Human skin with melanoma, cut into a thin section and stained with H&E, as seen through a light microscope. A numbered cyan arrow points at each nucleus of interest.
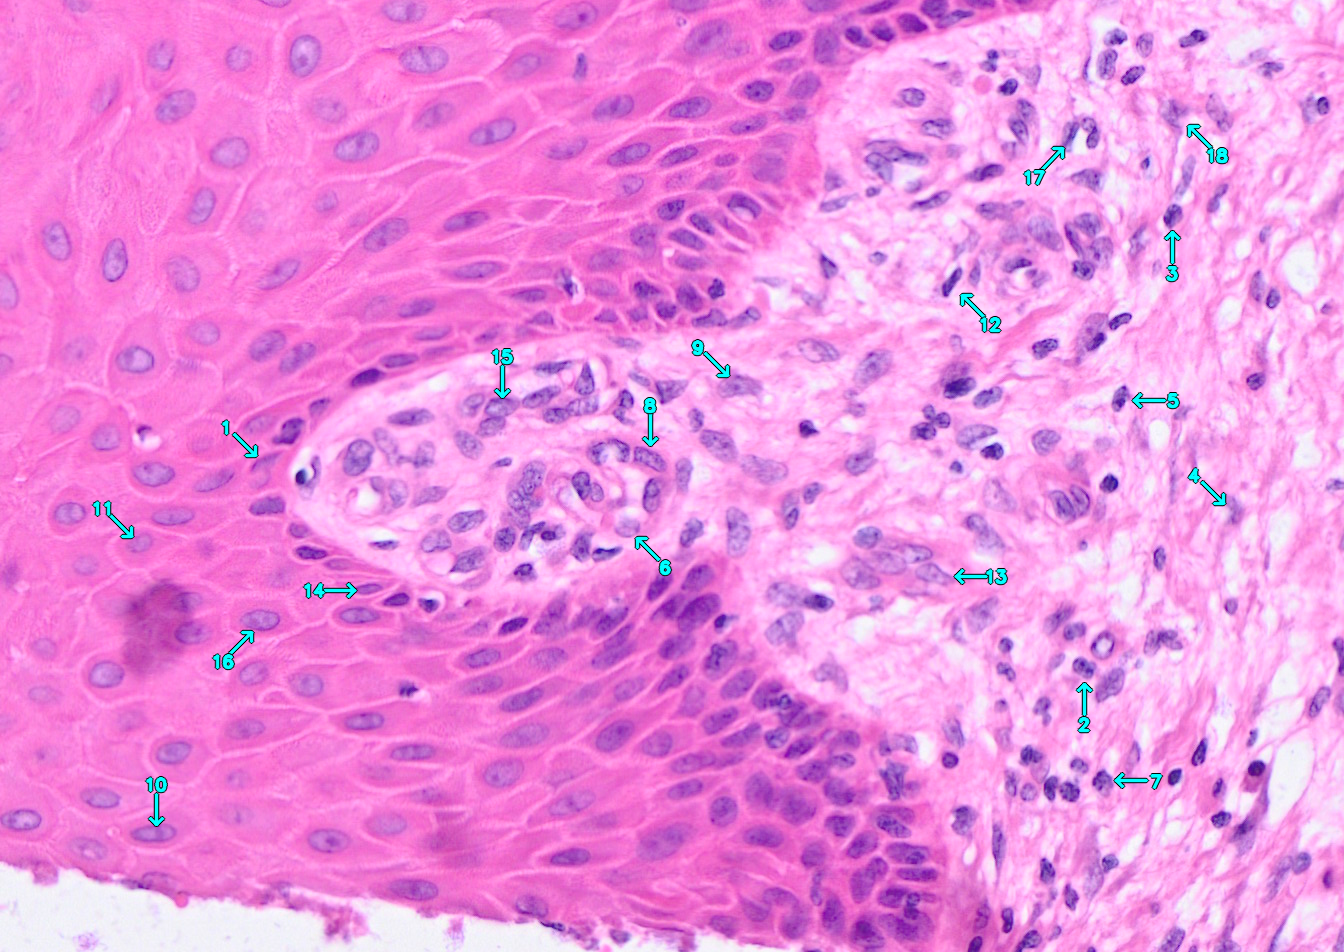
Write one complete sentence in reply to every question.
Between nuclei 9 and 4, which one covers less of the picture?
Nucleus 4 is the smaller one; nucleus 9 covers about 2 times its area.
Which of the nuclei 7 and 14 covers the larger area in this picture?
Nucleus 7 covers more area, about 2 times as much as nucleus 14.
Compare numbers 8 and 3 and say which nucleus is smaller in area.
It is nucleus 3; nucleus 8 has about 2 times its area.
